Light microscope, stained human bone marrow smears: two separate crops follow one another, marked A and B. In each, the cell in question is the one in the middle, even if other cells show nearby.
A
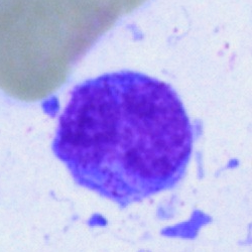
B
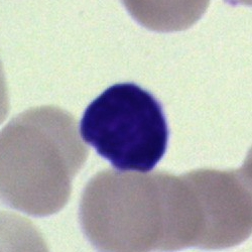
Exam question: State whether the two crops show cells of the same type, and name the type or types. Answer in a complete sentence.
No, a blast is what occupies crop A, and a lymphocyte is what occupies crop B.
